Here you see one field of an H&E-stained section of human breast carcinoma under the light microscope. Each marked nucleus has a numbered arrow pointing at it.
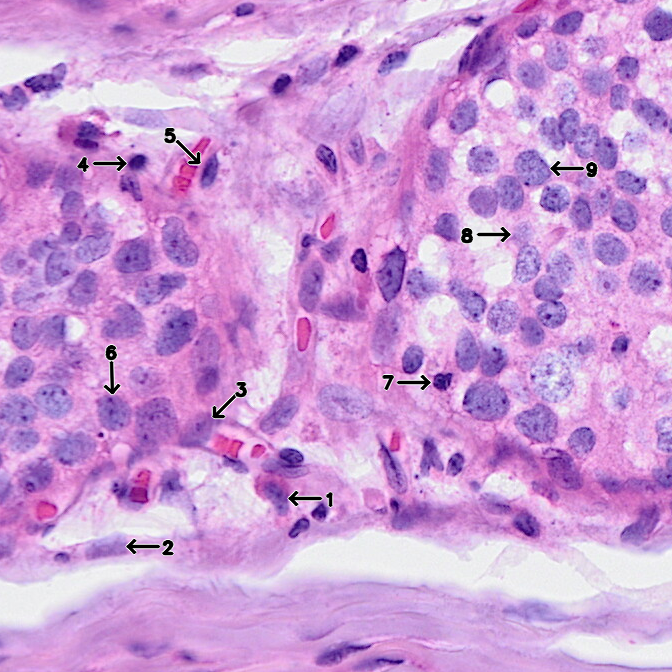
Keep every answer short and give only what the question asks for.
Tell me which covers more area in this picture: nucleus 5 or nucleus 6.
6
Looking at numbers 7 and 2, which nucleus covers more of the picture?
2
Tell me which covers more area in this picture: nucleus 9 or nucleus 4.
9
